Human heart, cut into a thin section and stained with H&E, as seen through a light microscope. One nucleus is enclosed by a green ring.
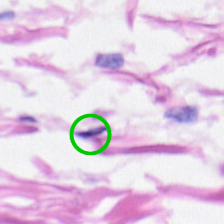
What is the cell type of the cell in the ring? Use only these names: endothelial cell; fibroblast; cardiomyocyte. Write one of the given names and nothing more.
fibroblast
